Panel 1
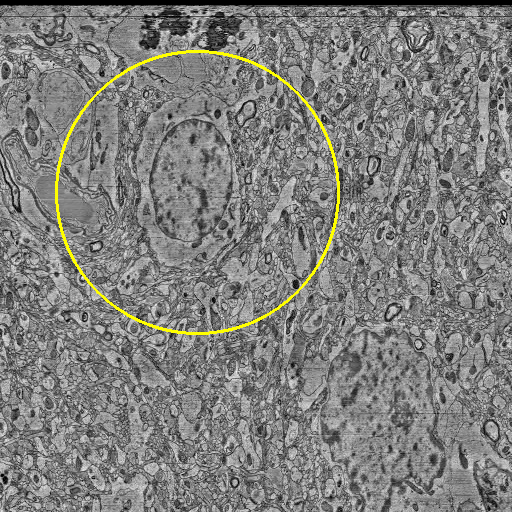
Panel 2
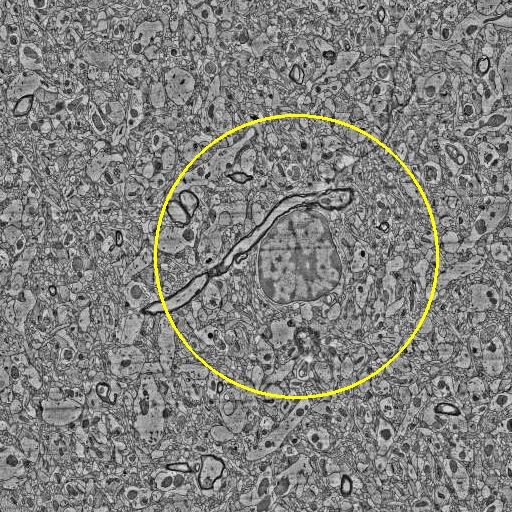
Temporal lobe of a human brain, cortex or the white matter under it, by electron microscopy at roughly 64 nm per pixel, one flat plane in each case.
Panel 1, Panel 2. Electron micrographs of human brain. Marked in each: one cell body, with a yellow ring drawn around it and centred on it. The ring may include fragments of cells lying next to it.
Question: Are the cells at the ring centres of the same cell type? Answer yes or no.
no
